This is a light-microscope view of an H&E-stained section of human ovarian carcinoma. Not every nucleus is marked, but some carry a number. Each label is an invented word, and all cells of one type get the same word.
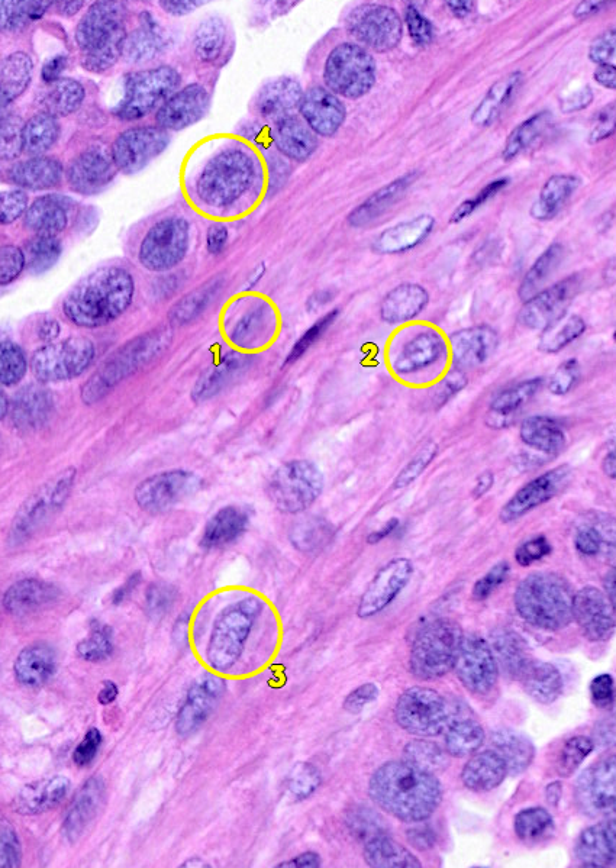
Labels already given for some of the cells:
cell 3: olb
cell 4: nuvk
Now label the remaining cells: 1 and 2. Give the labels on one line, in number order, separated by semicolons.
olb; olb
